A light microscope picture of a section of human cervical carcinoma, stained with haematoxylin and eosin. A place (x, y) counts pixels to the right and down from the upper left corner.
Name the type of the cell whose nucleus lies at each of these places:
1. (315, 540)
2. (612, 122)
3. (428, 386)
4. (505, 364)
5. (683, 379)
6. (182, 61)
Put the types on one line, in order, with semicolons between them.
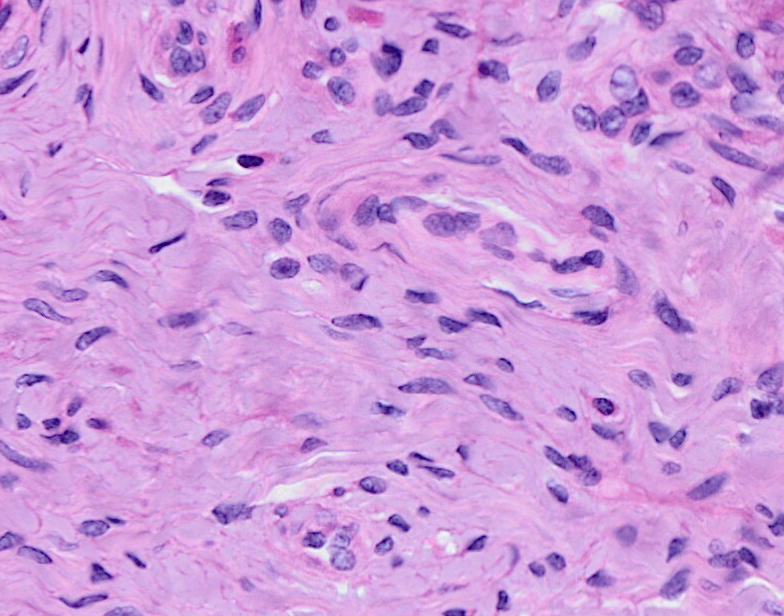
endothelial cell; endothelial cell; fibroblast; fibroblast; fibroblast; endothelial cell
